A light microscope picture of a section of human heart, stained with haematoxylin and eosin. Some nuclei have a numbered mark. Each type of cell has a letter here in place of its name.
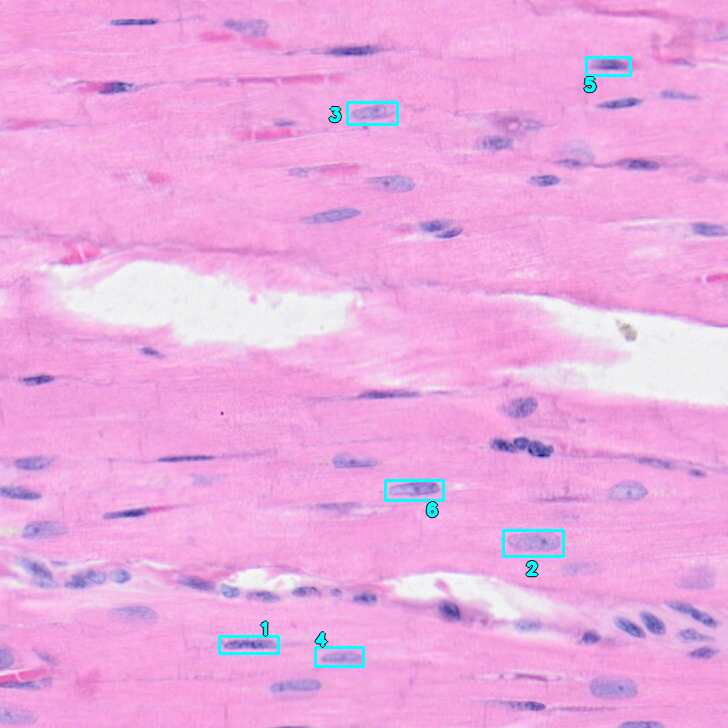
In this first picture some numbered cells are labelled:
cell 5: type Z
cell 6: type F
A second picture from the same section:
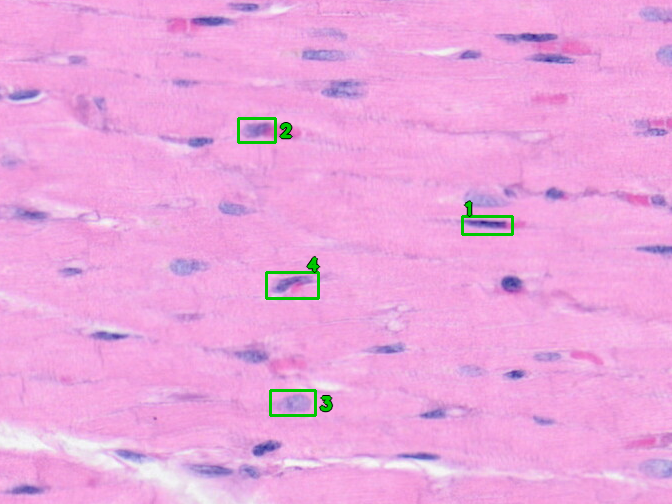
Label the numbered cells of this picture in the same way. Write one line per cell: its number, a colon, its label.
1: type Z
2: type Z
3: type F
4: type Z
